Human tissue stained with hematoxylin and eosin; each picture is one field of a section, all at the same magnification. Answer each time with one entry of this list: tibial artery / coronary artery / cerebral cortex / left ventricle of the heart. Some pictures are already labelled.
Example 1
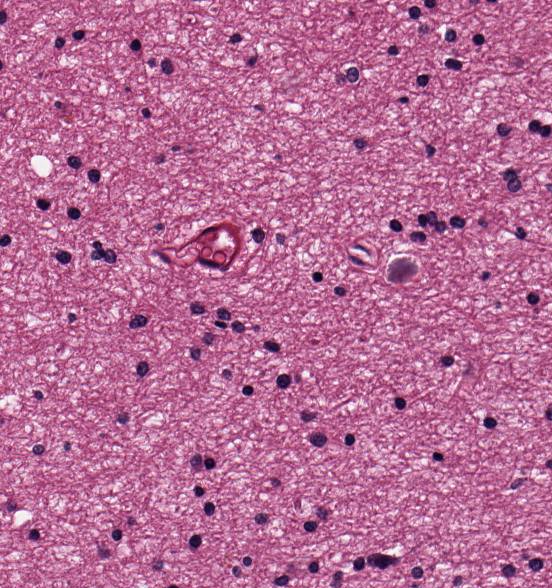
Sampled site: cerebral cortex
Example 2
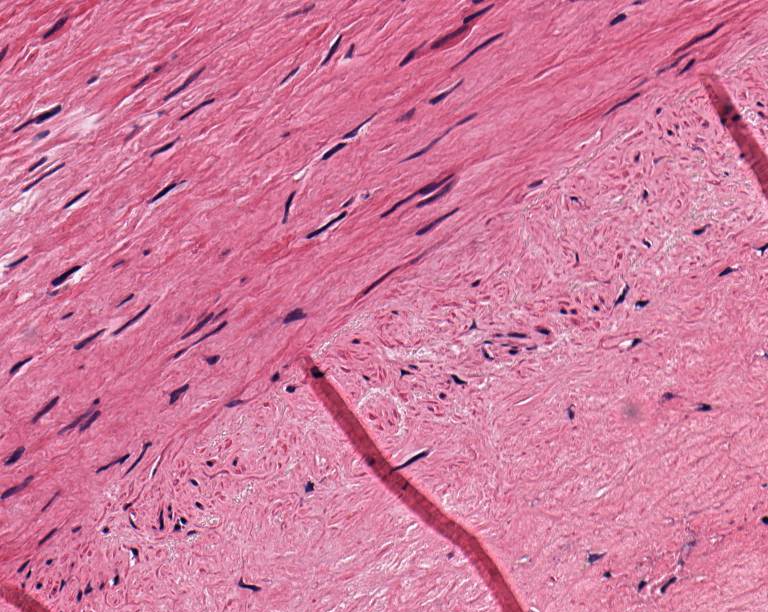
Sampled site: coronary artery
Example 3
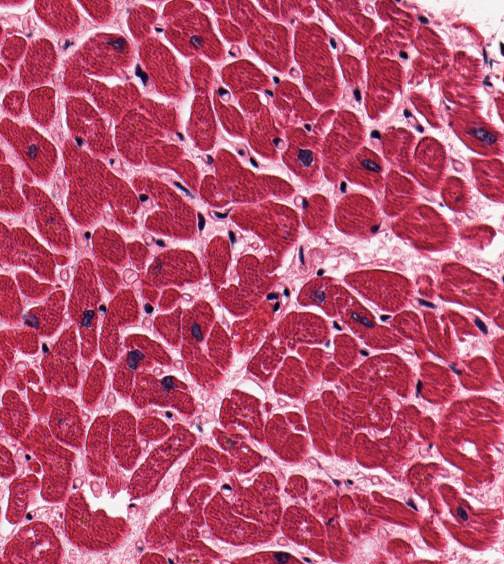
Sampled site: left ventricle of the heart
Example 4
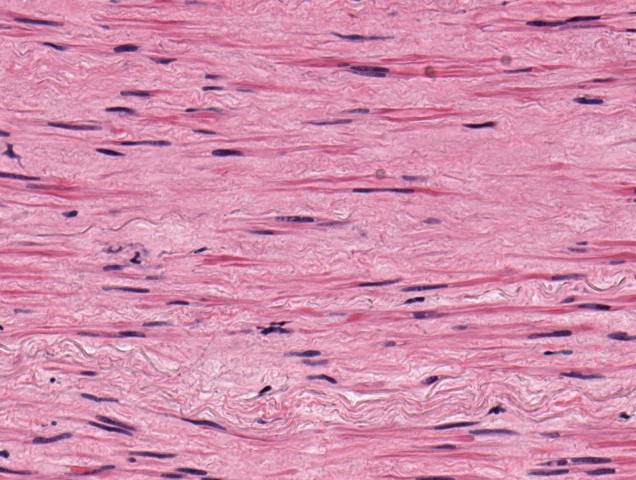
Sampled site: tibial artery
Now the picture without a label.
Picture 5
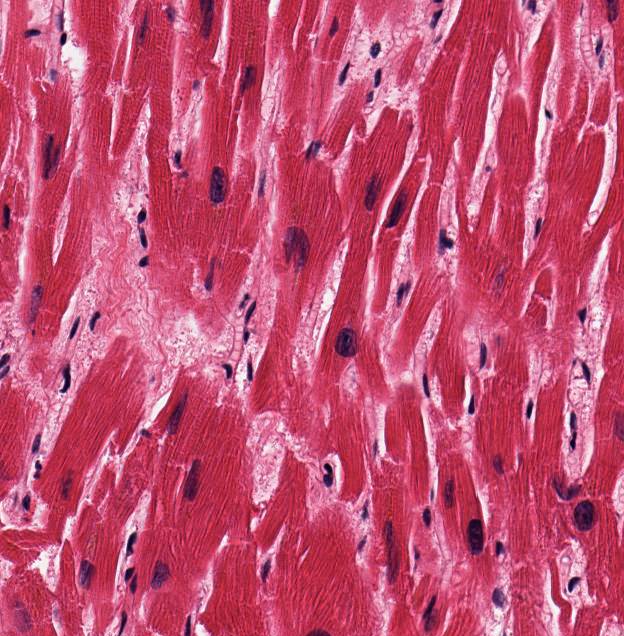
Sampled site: left ventricle of the heart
